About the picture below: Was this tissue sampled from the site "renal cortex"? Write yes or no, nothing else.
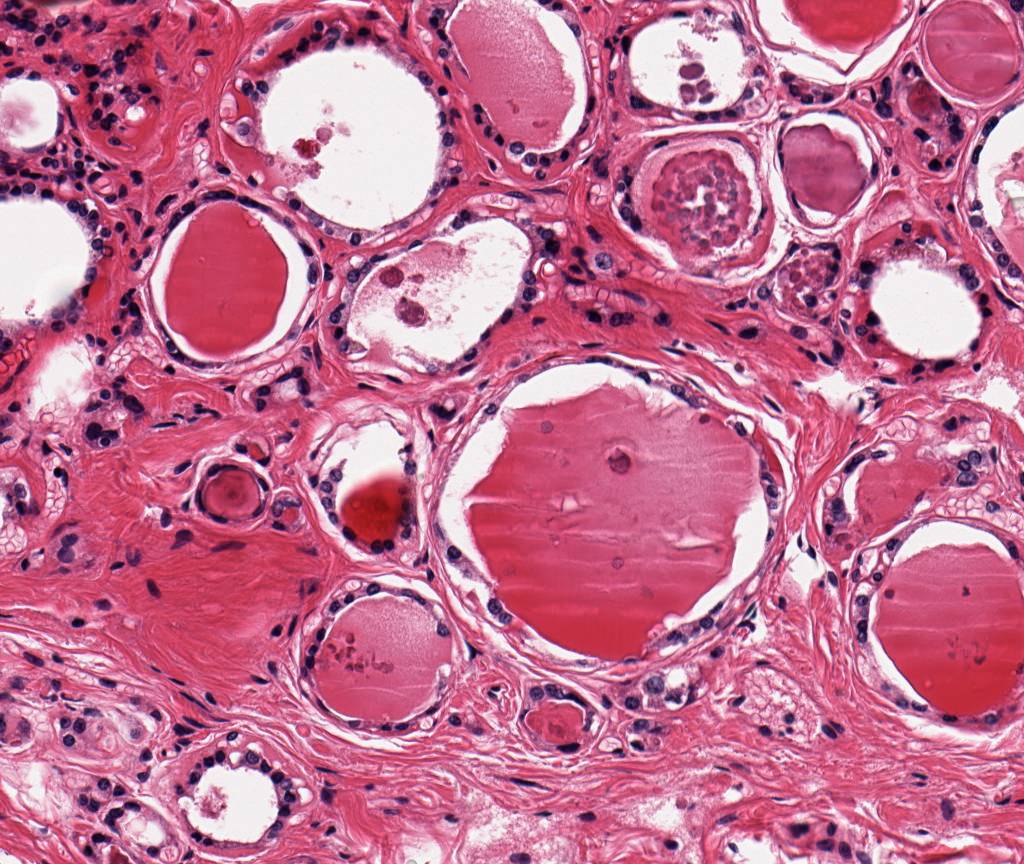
no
